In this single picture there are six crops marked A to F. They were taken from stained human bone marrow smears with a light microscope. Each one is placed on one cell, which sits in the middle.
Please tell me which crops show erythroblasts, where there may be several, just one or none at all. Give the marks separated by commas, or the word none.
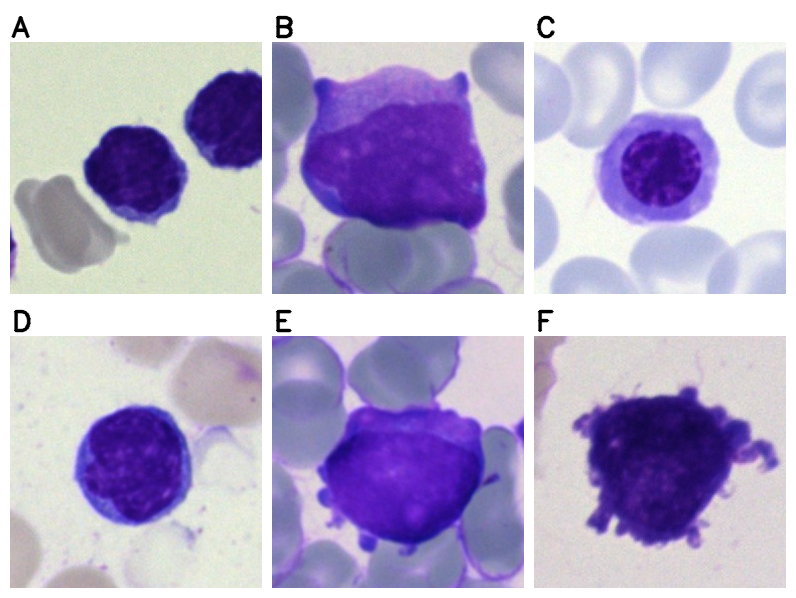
C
